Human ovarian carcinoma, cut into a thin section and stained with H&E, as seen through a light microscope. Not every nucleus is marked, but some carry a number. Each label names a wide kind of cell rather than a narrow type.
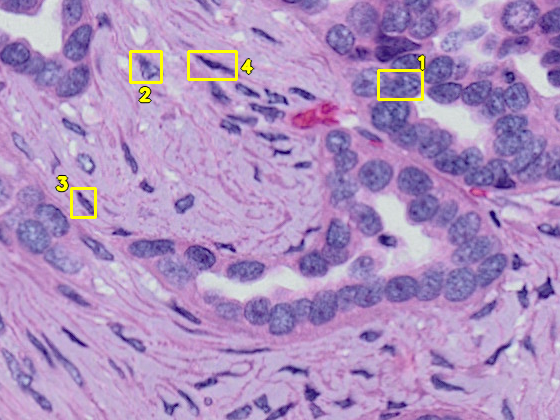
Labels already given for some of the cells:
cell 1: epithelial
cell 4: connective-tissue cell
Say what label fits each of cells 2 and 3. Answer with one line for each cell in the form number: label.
2: connective-tissue cell
3: connective-tissue cell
